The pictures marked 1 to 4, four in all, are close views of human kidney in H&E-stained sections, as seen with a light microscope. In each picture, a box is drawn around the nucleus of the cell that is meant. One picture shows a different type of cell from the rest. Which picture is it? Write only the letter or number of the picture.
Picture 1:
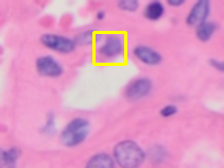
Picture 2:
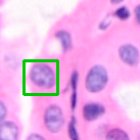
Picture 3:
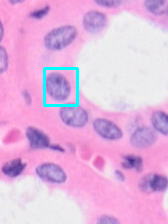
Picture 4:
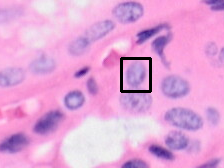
2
